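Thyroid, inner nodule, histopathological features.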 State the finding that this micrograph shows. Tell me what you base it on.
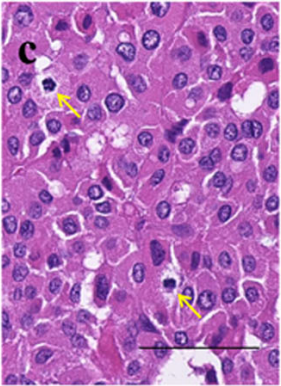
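Oncocytic cytoplasm. The cells have abundant, granular, pink cytoplasm. Nuclei are round and centrally placed with prominent nucleoli.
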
